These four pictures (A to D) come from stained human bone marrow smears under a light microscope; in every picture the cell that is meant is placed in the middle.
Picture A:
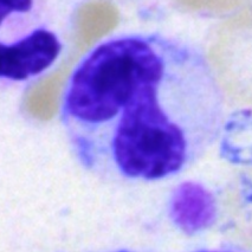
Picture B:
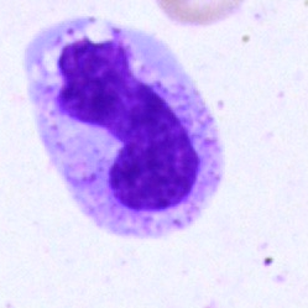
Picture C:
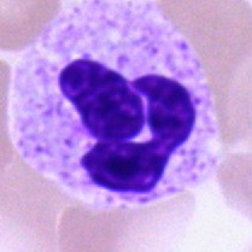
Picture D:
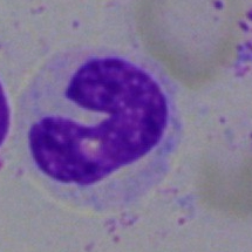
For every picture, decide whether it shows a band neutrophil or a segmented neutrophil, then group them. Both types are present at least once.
A: band neutrophil
B: band neutrophil
C: segmented neutrophil
D: segmented neutrophil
